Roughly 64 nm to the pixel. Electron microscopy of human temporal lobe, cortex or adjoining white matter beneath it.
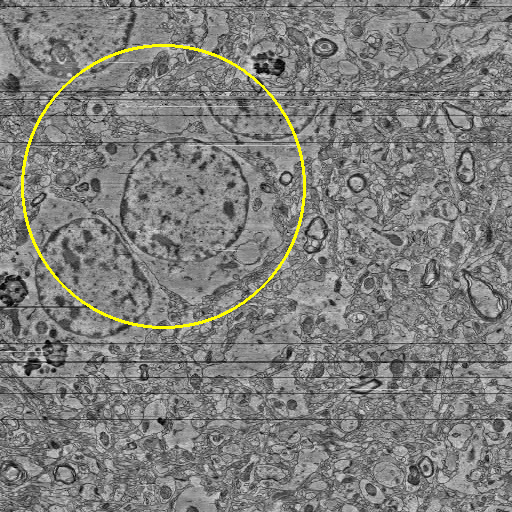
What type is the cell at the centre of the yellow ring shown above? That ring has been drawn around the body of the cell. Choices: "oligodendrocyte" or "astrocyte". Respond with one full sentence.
My answer is that an astrocyte lies at the centre of the yellow ring above.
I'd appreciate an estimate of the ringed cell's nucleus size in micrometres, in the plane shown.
In this plane, the nucleus measures approximately 8 micrometres across.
